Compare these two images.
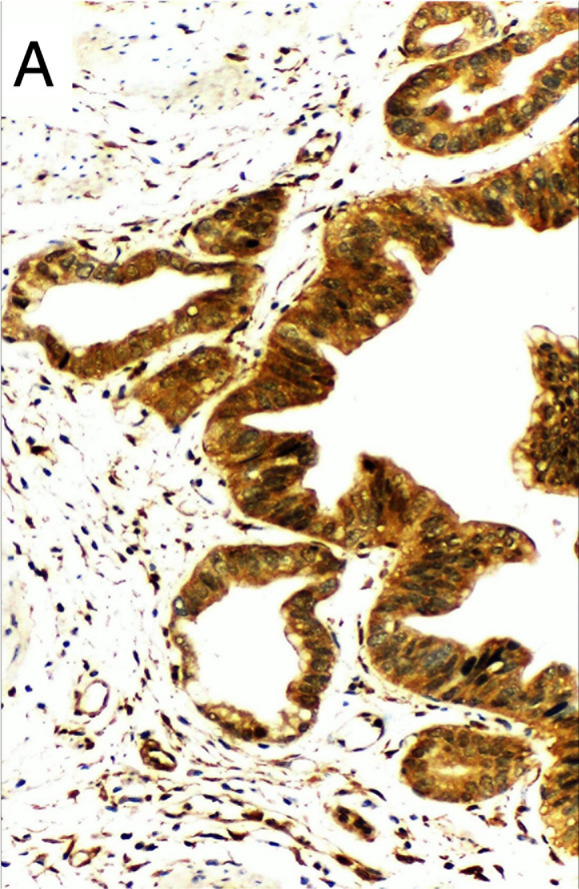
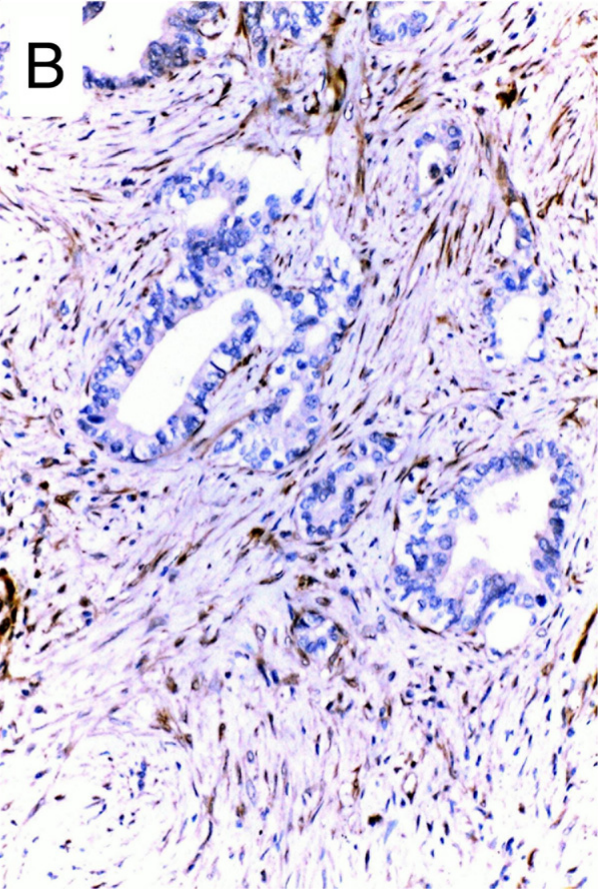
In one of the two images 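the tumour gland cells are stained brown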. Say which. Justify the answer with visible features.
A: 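The first image. Second image: gland cells show only blue nuclei and pale cytoplasm; brown lies in stromal spindle cells. First image: gland-lining cells are filled with intense brown stain.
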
